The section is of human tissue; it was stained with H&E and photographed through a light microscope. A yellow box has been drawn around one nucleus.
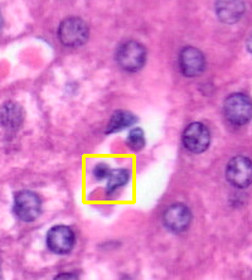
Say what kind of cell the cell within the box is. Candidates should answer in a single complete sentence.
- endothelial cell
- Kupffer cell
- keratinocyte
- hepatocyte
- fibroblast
In terms of identity, the cell within the box is a Kupffer cell.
